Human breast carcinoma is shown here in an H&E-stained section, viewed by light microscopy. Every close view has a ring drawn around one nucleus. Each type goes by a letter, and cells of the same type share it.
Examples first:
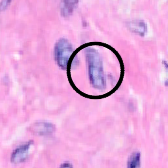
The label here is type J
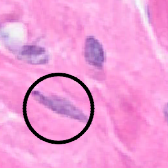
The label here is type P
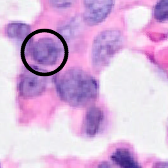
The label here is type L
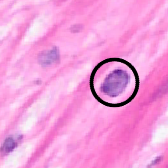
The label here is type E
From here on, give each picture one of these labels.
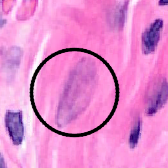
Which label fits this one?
type P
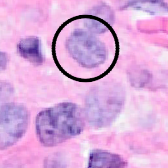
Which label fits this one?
type L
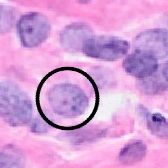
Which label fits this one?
type L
